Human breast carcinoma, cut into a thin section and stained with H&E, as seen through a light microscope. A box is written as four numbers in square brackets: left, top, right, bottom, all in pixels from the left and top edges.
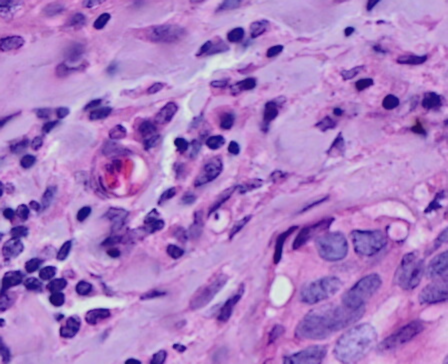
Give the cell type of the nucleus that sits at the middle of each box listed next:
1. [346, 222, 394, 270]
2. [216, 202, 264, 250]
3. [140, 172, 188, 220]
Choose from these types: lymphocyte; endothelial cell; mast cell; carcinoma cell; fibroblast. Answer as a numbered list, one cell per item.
1. carcinoma cell
2. fibroblast
3. lymphocyte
